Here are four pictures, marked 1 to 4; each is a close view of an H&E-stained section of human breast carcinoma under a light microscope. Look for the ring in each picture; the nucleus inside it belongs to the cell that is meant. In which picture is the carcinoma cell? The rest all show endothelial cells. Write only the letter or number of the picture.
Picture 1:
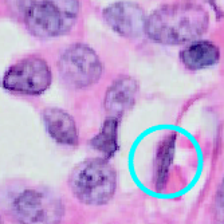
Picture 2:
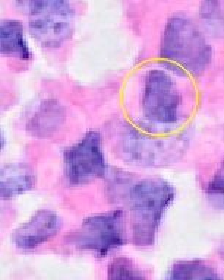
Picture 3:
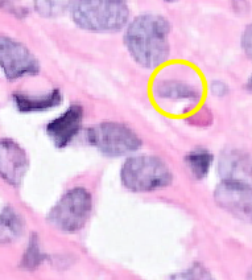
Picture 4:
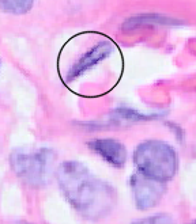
2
